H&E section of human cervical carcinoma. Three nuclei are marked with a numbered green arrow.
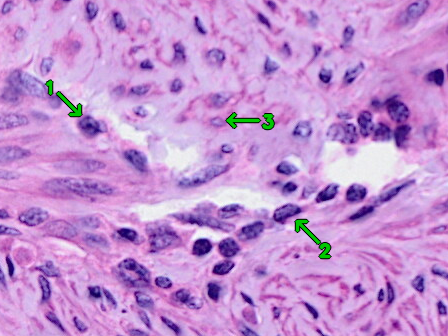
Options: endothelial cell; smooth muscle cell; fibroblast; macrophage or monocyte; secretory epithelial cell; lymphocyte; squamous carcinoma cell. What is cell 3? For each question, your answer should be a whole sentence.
The cell referred to as 3 is a smooth muscle cell.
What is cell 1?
The cell referred to as 1 is a lymphocyte.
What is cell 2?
Identified by the number 2, the cell is a lymphocyte.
